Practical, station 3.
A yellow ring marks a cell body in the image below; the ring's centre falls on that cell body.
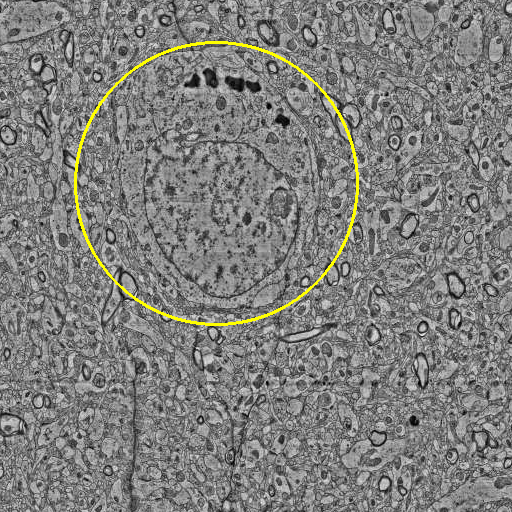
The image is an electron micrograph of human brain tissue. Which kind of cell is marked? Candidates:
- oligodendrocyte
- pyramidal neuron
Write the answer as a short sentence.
The marked cell body is that of a pyramidal neuron.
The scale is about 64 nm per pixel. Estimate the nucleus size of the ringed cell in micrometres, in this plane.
In this plane, approximately 11 by 9 micrometers.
